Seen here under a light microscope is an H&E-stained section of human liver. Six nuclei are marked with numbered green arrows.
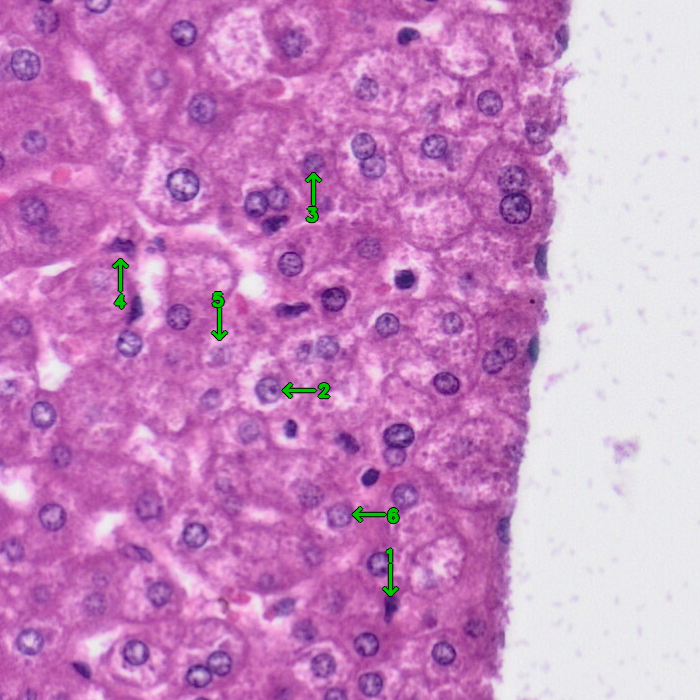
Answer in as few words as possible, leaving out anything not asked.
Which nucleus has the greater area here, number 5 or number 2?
2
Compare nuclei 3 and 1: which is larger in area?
3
